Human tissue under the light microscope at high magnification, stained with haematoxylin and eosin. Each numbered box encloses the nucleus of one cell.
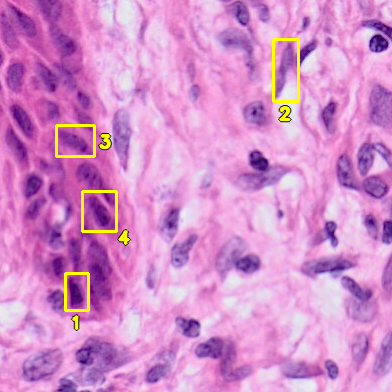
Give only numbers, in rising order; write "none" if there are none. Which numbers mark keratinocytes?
1, 3, 4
